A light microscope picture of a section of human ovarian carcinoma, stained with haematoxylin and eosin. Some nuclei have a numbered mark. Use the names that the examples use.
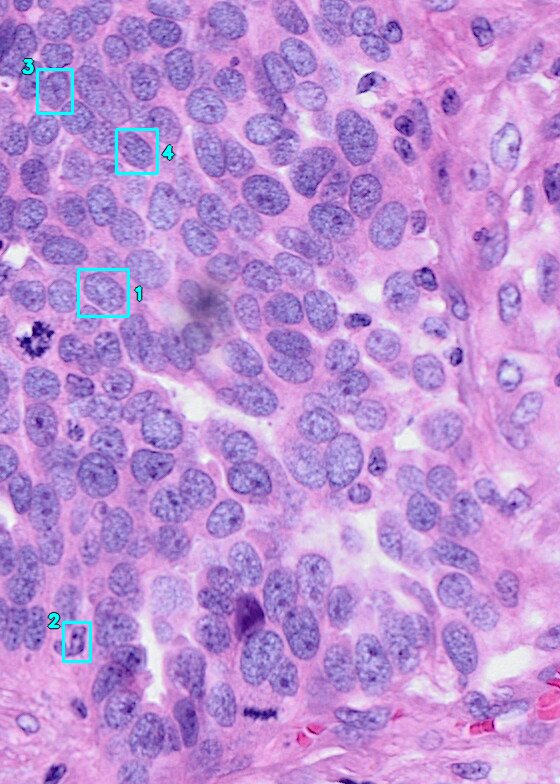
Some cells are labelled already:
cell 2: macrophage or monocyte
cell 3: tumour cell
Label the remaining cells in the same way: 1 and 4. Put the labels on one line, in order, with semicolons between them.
tumour cell; tumour cell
